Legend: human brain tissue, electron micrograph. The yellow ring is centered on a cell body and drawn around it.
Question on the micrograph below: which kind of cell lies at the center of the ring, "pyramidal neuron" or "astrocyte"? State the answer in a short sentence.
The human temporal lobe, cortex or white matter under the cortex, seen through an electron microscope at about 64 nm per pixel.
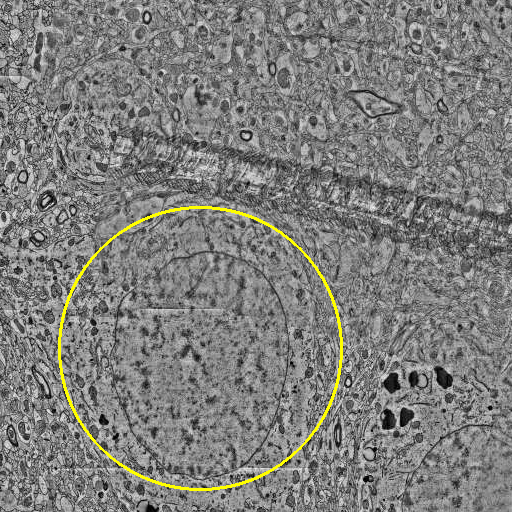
At the center of the ring lies a pyramidal neuron.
